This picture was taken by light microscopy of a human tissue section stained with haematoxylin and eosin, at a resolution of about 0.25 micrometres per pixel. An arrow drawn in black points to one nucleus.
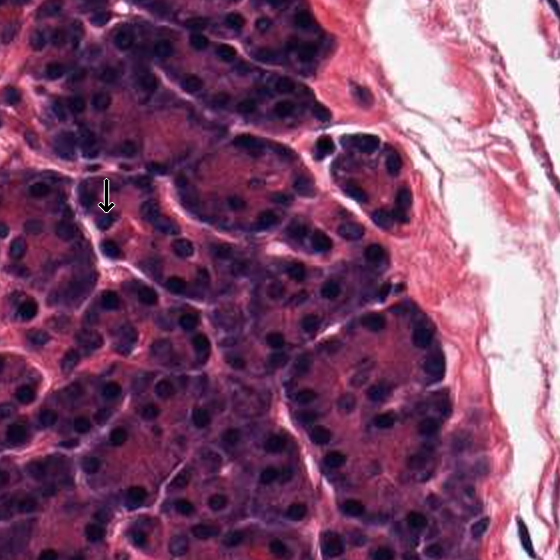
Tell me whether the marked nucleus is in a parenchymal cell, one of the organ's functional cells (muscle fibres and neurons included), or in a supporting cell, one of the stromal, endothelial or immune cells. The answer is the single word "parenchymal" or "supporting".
parenchymal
